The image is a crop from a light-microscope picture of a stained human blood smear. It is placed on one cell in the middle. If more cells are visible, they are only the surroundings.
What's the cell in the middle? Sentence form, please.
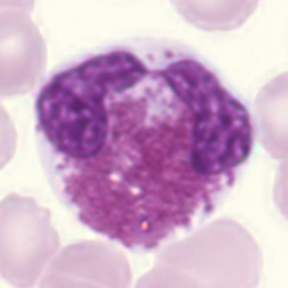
Centrally within this crop lies an eosinophil.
